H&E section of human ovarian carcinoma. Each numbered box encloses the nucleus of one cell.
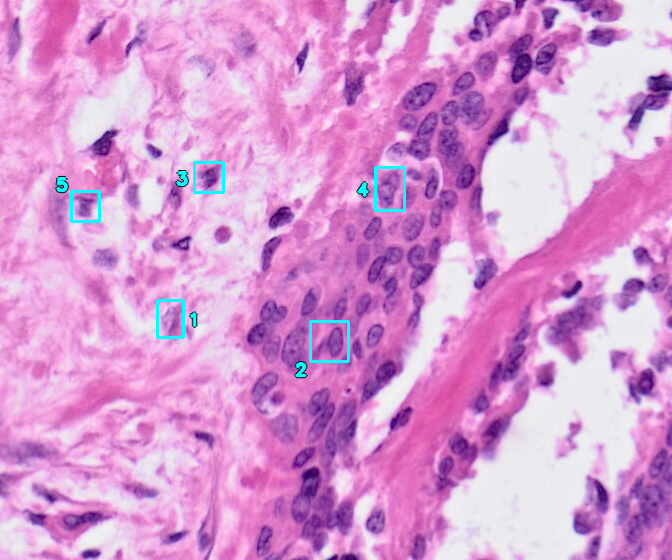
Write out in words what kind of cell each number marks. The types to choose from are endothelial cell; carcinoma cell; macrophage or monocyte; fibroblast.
Cells 1, 3 and 5 are fibroblasts. Cell 2 is a carcinoma cell. Cell 4 is a macrophage or monocyte.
